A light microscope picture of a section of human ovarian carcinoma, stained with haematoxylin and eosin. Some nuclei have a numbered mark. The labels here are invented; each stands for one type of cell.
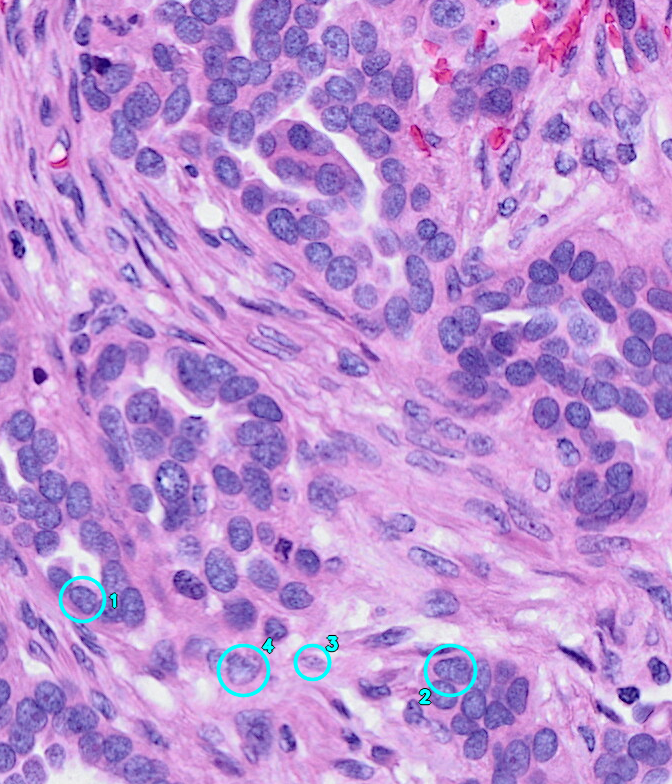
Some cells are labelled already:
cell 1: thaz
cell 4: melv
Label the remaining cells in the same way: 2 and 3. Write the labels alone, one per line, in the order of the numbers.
thaz
melv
